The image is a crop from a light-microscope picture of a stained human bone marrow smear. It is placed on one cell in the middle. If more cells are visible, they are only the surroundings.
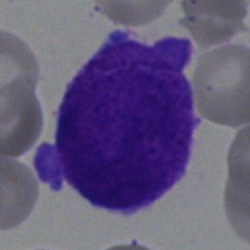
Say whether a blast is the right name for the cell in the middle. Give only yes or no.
yes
